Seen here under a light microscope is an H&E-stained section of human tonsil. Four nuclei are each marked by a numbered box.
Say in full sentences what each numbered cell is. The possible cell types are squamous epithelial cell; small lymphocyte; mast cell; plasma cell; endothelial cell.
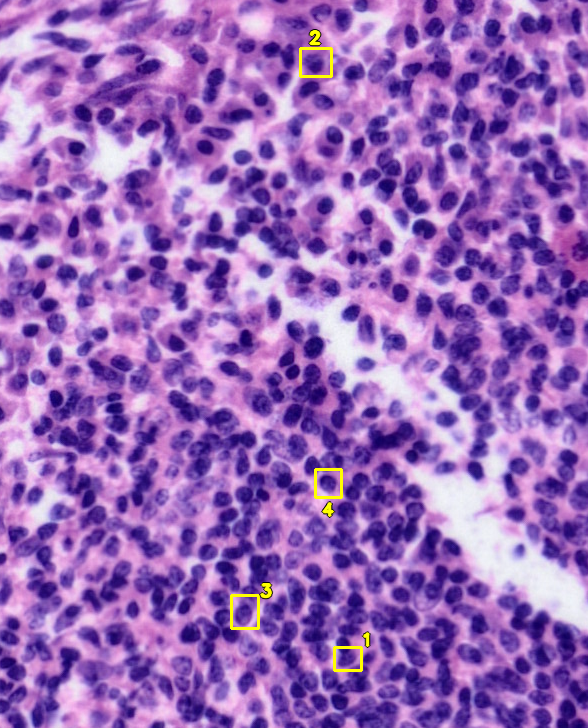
Cell 1 is a small lymphocyte, cell 2 is a plasma cell, cell 3 is a small lymphocyte and cell 4 is a small lymphocyte.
